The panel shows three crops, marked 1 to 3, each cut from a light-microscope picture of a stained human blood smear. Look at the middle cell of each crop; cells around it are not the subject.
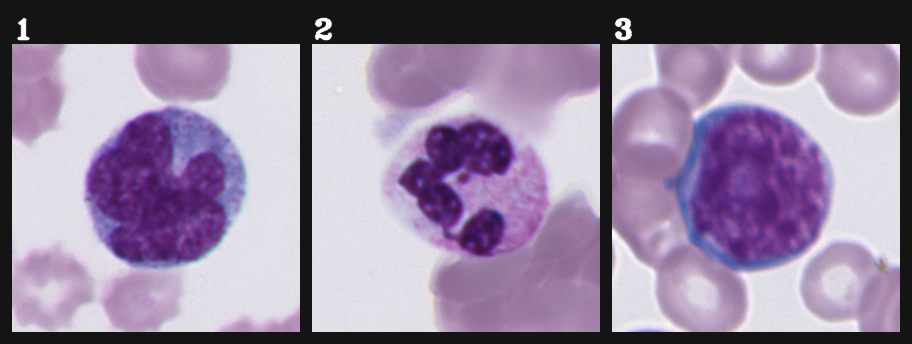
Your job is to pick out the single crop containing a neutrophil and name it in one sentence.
Crop 2 is where a neutrophil is shown.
